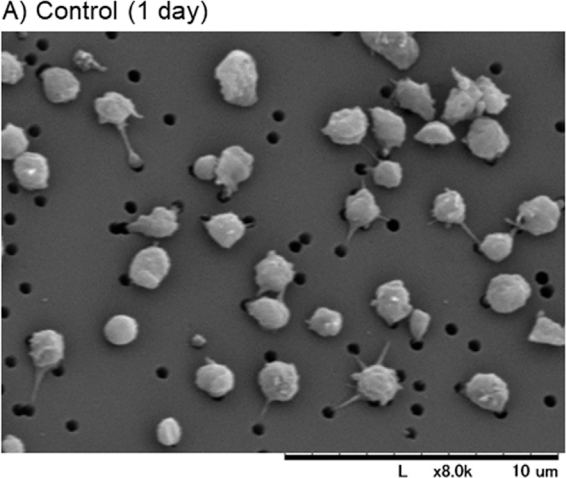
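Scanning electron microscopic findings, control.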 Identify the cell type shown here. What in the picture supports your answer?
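Many small, separate, rounded to oval bodies, each only a few micrometres across against the 10 um scale bar. Several bodies extend thin, spiky processes. The bodies rest on a flat, porous filter membrane with round dark pores.
Conclusion: platelet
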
